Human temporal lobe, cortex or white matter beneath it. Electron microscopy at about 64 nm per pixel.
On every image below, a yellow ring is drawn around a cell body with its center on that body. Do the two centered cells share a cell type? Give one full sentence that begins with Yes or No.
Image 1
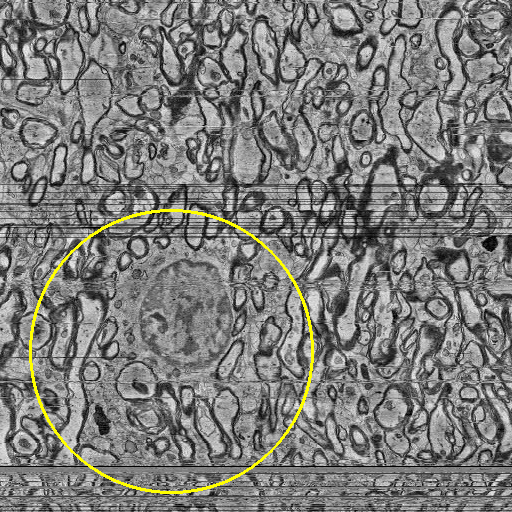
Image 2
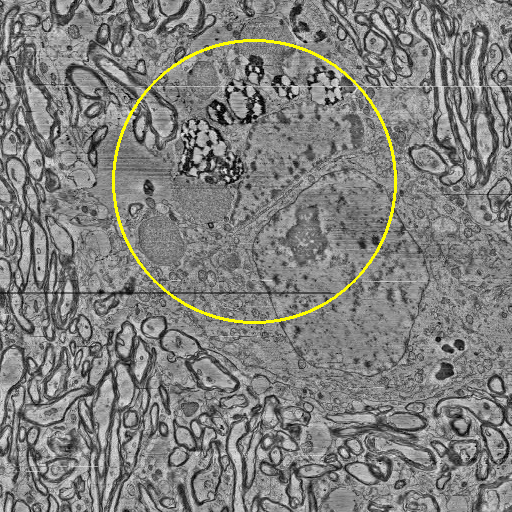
No, the centered cells in the two images are of two separate cell types.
